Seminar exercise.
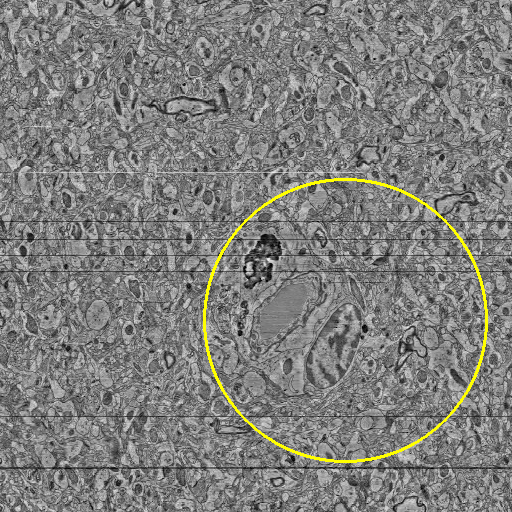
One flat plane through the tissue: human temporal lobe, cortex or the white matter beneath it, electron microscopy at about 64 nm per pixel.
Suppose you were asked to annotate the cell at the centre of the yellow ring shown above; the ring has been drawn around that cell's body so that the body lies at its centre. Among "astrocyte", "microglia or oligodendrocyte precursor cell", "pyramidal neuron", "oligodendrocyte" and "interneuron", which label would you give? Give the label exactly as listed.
microglia or oligodendrocyte precursor cell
